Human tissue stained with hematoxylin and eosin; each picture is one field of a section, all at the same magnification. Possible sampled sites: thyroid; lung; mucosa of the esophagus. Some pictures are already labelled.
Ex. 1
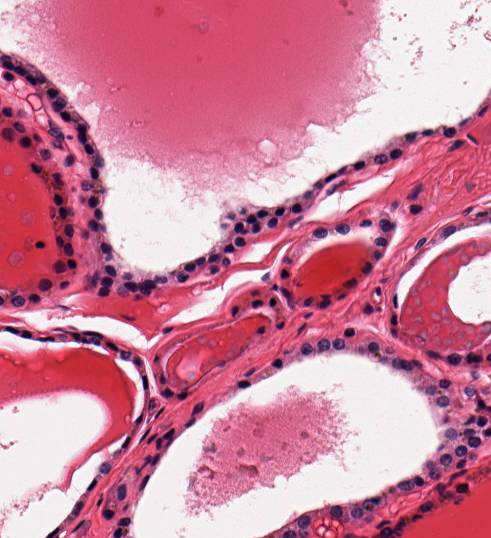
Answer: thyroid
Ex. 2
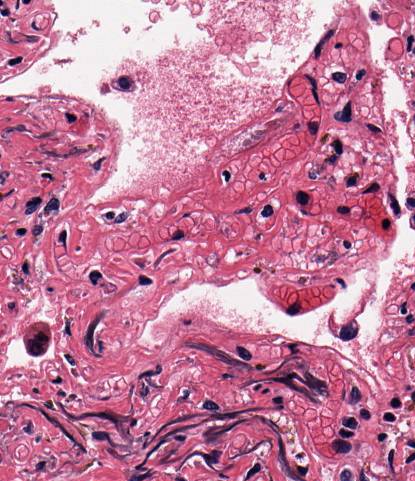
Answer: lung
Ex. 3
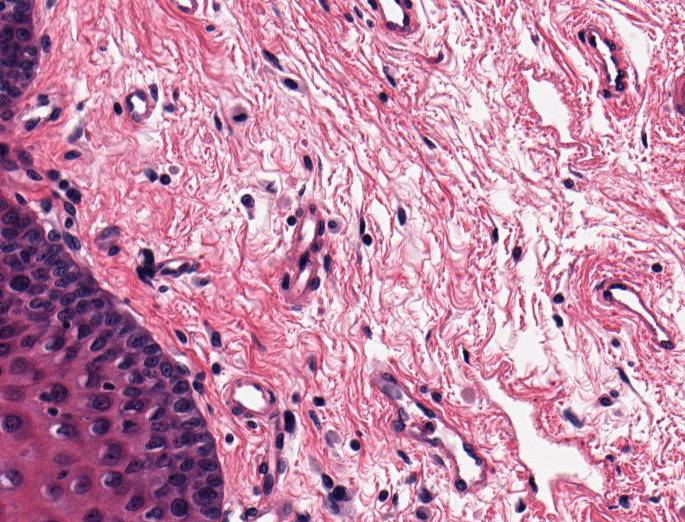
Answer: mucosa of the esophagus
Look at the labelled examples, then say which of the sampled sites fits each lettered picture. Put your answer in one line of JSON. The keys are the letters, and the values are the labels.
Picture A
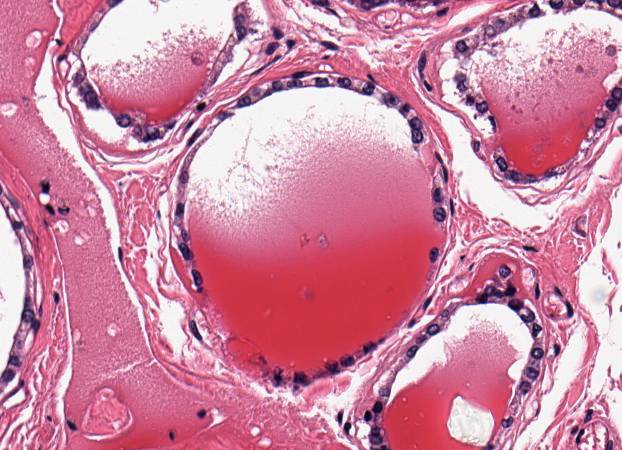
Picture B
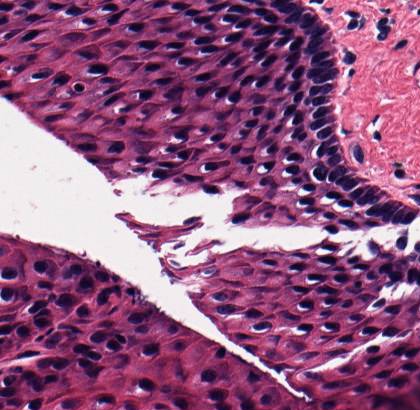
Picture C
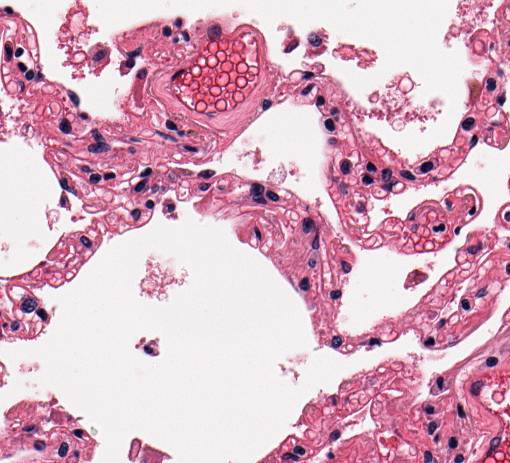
{"A": "thyroid", "B": "mucosa of the esophagus", "C": "lung"}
